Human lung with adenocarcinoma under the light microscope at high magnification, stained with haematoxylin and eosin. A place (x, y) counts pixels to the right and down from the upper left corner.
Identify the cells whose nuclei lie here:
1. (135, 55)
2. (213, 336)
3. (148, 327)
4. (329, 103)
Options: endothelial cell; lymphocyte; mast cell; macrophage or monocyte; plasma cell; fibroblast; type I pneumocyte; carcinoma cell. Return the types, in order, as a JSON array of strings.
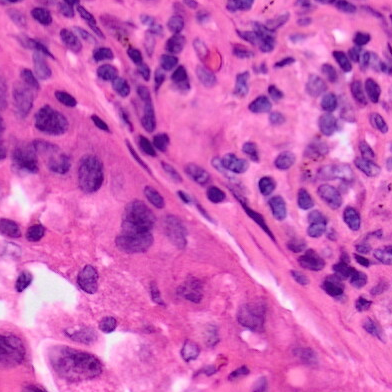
["lymphocyte", "macrophage or monocyte", "macrophage or monocyte", "lymphocyte"]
